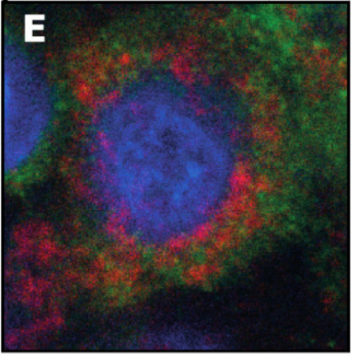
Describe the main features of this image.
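This is one cell seen close up, with a large round blue nucleus in its centre. Around the nucleus the cytoplasm holds fine granules of both red and green staining lying side by side and partly mingled, the red gathered closer to the nucleus and the green more toward the edge of the cell.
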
